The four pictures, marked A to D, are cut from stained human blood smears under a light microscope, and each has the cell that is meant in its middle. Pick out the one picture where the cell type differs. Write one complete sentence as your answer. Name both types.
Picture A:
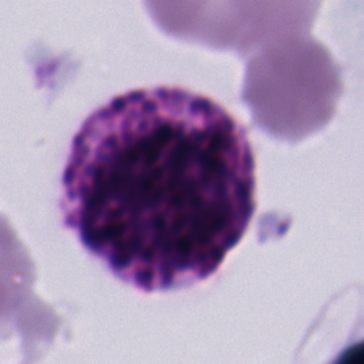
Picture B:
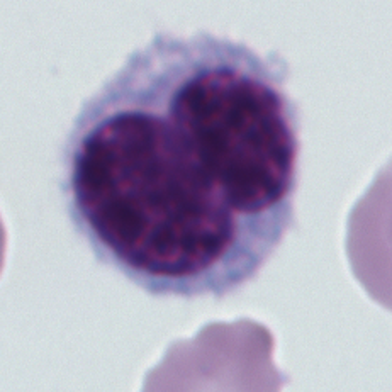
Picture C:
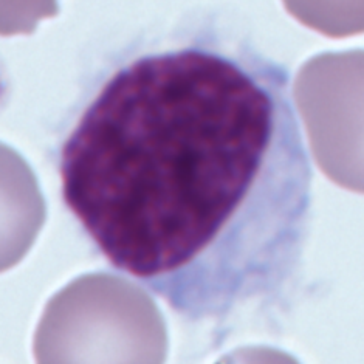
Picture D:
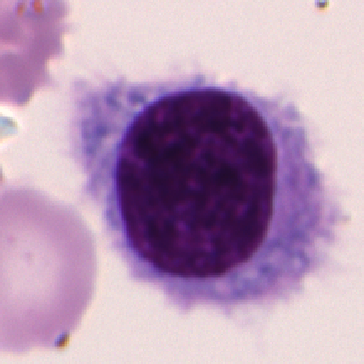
Unlike the rest, which show hairy cells, picture A shows a basophil.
